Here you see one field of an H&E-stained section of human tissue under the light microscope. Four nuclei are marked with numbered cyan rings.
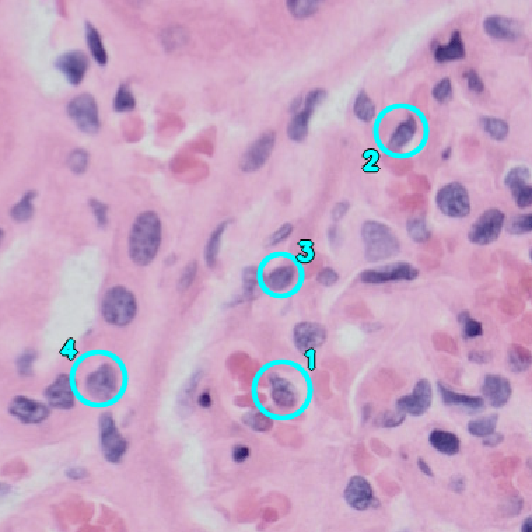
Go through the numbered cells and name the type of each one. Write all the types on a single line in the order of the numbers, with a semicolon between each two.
endothelial cell; endothelial cell; endothelial cell; collecting duct cell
